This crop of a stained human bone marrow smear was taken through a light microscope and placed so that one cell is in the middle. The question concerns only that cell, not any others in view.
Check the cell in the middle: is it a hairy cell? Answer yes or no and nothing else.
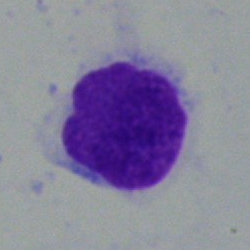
yes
